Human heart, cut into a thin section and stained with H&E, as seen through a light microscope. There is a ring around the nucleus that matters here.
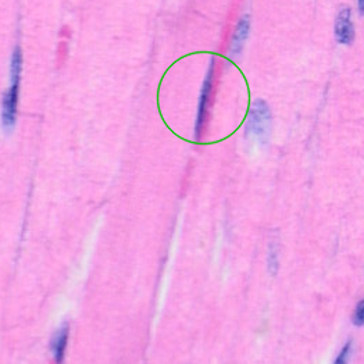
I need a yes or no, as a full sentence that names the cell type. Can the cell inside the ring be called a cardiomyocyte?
No, the cell inside the ring is an endothelial cell rather than a cardiomyocyte.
